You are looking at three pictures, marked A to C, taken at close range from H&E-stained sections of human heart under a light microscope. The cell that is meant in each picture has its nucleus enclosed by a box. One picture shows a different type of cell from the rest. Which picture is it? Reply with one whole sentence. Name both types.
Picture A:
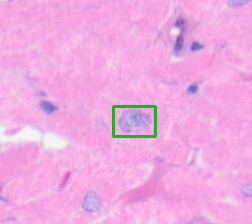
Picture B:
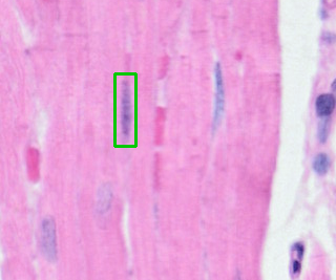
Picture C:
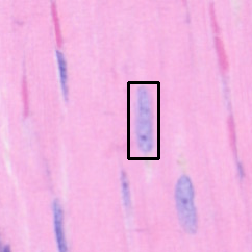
The different one is picture B; it shows an endothelial cell, whereas all the others show cardiomyocytes.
